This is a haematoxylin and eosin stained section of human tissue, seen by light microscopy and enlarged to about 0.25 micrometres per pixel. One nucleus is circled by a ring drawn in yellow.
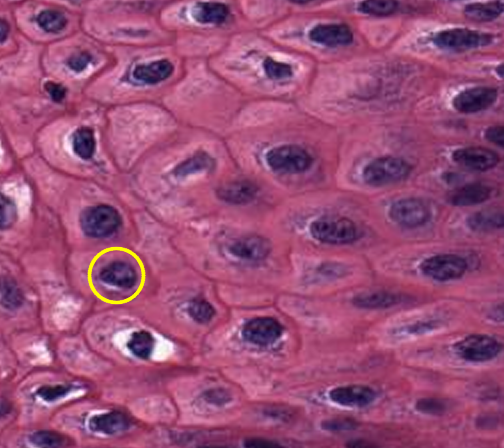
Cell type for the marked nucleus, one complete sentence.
The marked nucleus here is the nucleus of a squamous epithelial cell.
